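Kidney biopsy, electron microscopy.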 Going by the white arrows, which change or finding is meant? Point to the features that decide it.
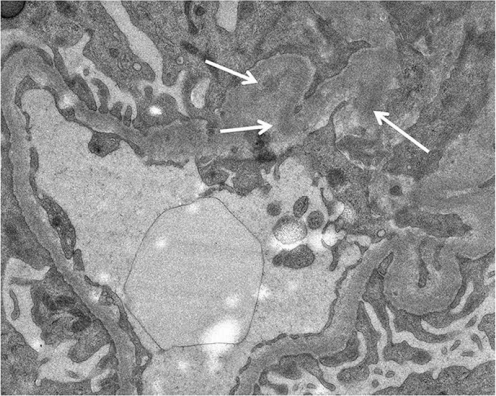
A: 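The arrows point to faintly darker, finely granular material in the matrix between capillaries.
Hence: deposits.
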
